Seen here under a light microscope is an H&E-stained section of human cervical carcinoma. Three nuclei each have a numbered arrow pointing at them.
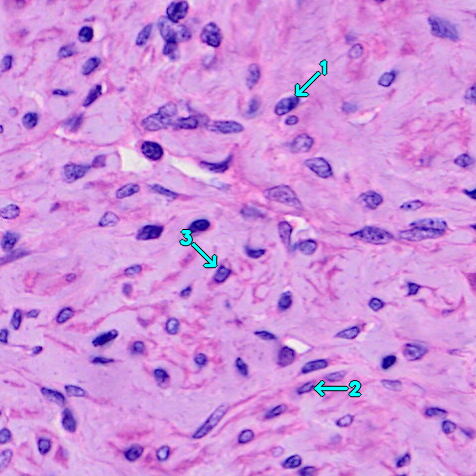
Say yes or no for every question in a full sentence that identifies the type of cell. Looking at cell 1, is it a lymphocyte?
Yes, to put it simply, cell number 1 is a lymphocyte.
